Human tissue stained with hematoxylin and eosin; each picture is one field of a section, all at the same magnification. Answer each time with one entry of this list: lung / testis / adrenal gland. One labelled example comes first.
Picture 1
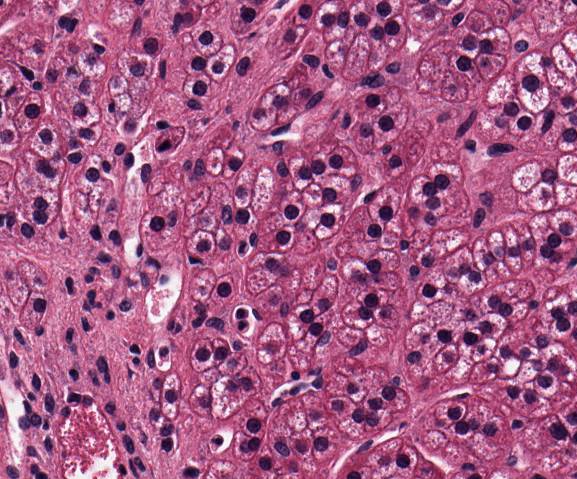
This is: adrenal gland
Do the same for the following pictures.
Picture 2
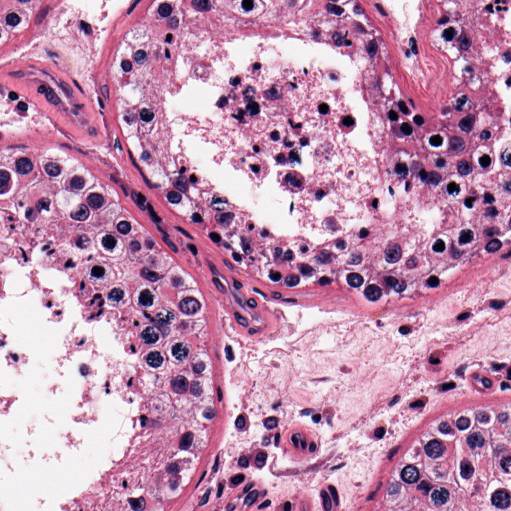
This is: testis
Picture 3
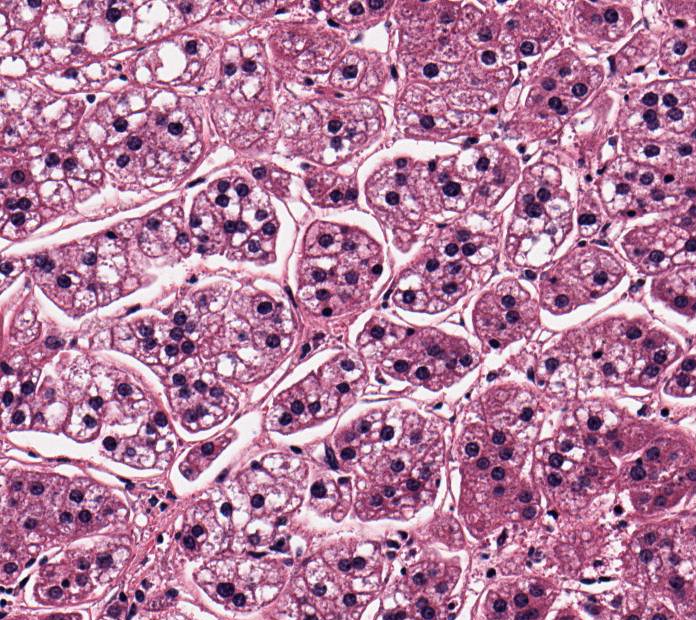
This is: adrenal gland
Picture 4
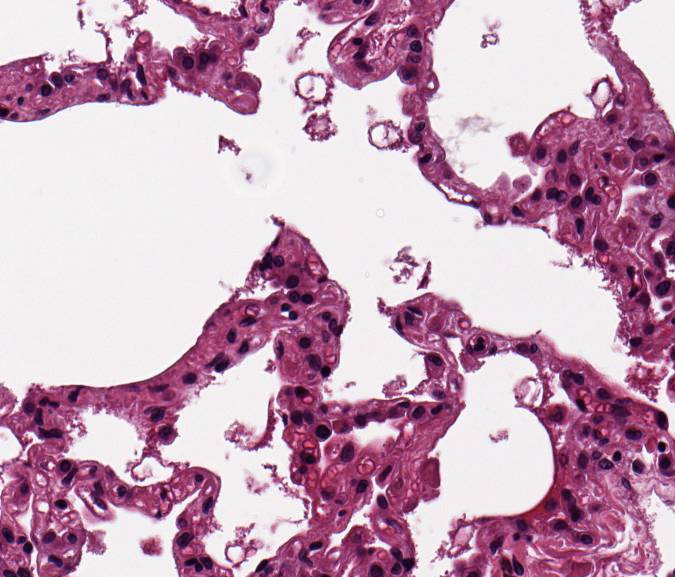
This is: lung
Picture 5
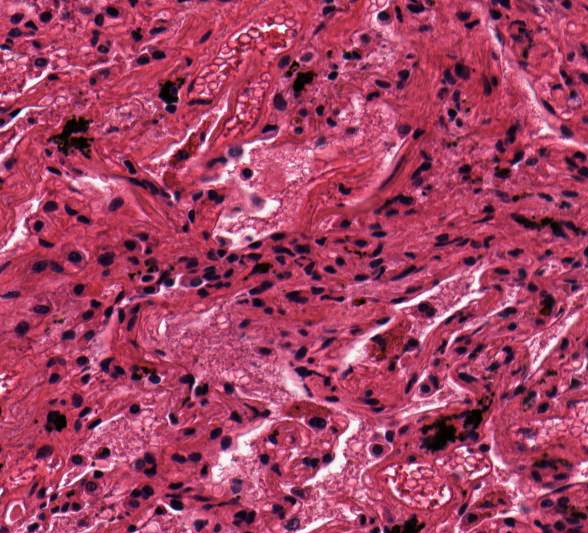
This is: lung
